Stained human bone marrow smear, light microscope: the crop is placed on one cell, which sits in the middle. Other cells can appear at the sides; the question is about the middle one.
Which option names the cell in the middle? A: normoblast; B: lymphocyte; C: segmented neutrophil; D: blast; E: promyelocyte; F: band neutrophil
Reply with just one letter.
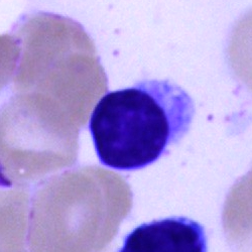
B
